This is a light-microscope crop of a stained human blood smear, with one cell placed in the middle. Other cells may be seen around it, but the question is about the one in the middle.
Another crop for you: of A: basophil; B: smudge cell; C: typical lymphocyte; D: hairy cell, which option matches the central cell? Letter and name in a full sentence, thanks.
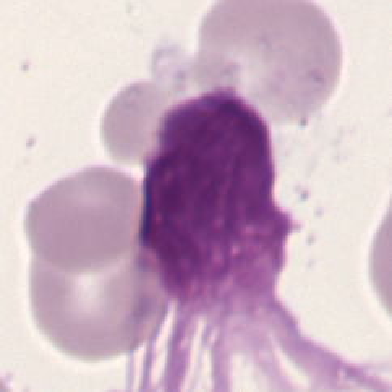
The middle of the crop contains a smudge cell, so option B is right.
